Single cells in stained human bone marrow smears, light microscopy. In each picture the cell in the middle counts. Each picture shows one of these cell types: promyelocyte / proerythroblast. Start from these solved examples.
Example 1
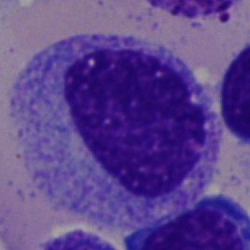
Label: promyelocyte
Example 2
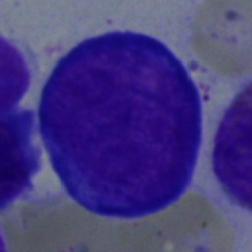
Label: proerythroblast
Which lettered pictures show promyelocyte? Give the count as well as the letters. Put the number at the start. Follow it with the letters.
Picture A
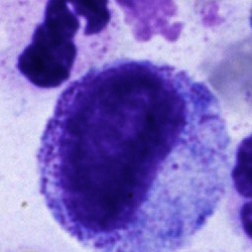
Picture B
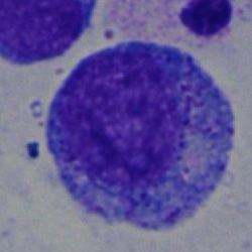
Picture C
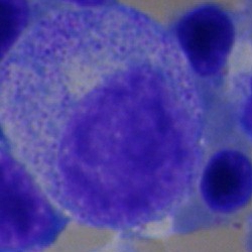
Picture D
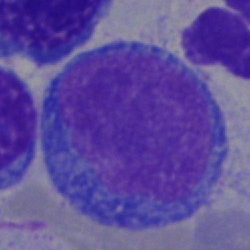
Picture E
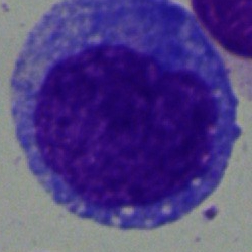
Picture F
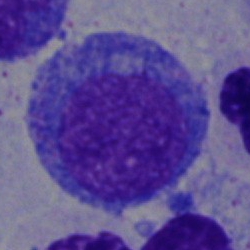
Count: 5 (A, B, C, E, F)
